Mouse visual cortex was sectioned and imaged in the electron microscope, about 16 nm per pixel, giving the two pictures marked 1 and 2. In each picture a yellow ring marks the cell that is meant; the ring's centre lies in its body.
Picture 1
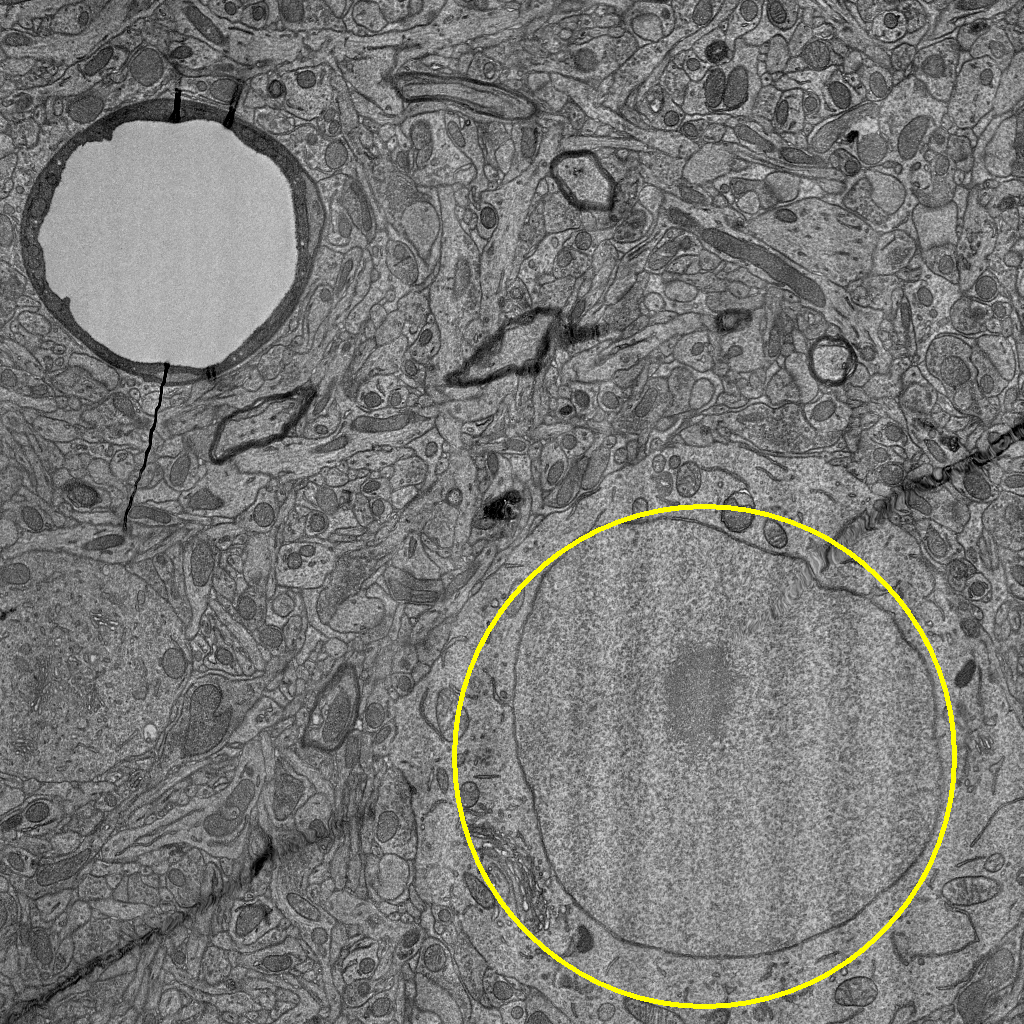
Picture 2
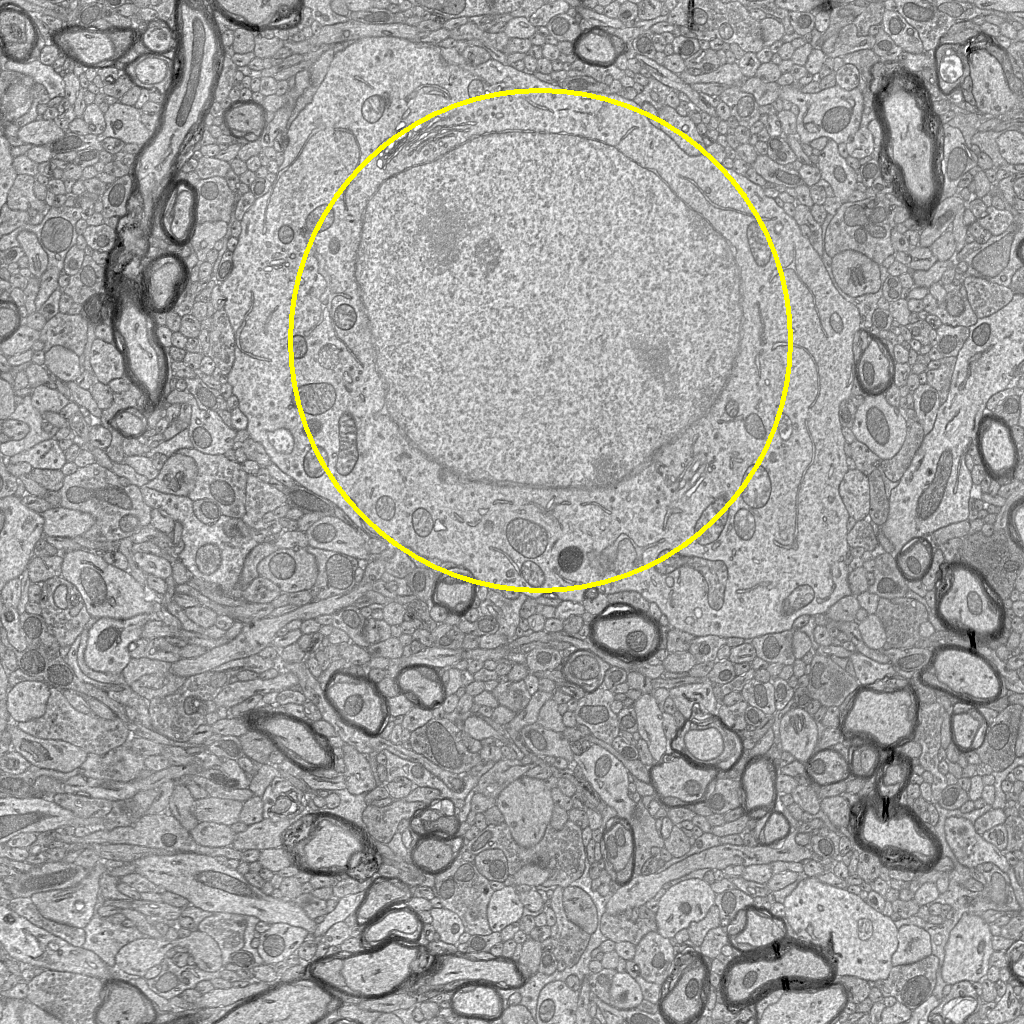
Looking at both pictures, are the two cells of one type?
Yes, both cells are excitatory neurons.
